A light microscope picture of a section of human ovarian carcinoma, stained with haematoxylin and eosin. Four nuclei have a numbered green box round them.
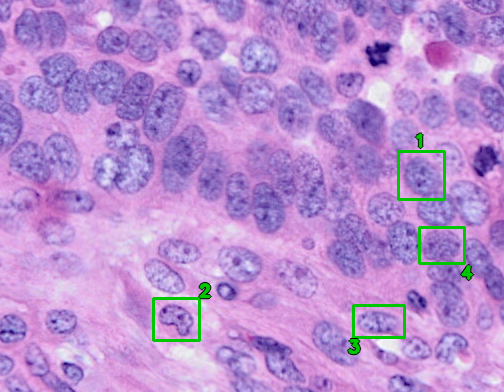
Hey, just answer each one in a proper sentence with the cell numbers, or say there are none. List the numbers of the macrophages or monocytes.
Cell 2 is a macrophage or monocyte, and it is the only numbered cell that is.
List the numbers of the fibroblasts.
Cell 3 is a fibroblast and is the only numbered cell of that kind.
